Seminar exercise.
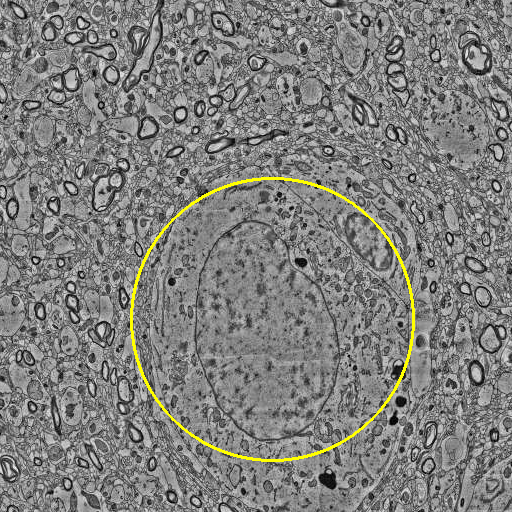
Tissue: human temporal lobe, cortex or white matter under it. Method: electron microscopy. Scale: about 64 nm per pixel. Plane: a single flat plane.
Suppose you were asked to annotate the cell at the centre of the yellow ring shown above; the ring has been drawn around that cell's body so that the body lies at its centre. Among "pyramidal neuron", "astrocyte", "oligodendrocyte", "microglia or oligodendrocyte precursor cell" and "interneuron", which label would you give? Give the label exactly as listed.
pyramidal neuron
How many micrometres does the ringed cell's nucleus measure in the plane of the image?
Roughly 14 micrometres by 9 micrometres, so the nucleus is clearly longer than it is wide in this plane.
